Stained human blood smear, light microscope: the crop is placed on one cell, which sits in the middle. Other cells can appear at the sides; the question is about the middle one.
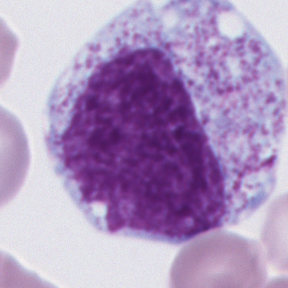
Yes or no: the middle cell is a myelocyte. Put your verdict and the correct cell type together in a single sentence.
Yes, the cell in the central position is a myelocyte.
